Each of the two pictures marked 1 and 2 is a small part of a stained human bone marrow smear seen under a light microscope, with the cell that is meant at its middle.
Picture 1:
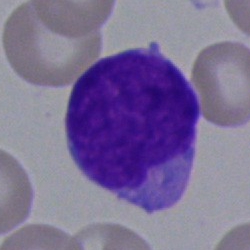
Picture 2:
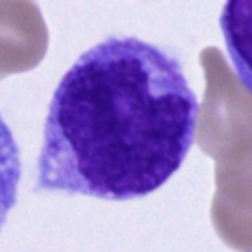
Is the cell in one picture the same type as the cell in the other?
no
